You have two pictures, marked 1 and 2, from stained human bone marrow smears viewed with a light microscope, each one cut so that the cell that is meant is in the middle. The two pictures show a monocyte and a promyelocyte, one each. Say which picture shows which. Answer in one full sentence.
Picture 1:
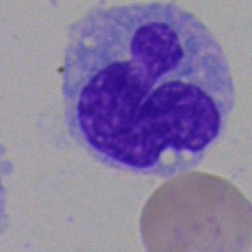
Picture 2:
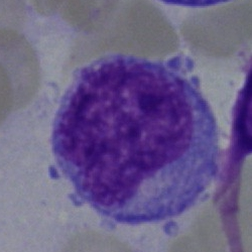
Picture 1 shows a monocyte and picture 2 shows a promyelocyte.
